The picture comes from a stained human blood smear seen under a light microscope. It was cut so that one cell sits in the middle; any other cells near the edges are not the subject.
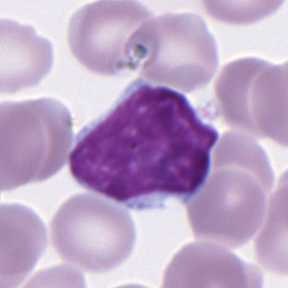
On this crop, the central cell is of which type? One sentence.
In the centre of this crop there is a lymphocyte.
